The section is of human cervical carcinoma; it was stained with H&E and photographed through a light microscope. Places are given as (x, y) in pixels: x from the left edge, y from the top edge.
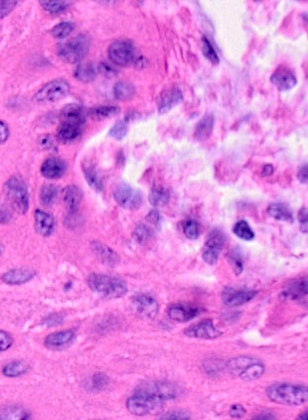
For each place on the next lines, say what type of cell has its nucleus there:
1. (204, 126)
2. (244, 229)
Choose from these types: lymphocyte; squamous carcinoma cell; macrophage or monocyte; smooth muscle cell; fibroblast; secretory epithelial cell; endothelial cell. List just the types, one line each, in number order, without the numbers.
fibroblast
lymphocyte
